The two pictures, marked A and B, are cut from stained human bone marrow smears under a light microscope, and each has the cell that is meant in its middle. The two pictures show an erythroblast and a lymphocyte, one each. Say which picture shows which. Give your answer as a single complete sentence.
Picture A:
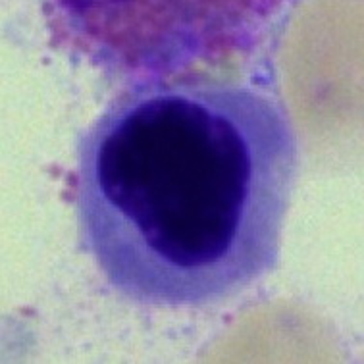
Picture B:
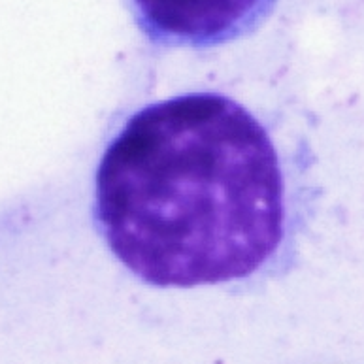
Picture A is of an erythroblast, and picture B is of a lymphocyte.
